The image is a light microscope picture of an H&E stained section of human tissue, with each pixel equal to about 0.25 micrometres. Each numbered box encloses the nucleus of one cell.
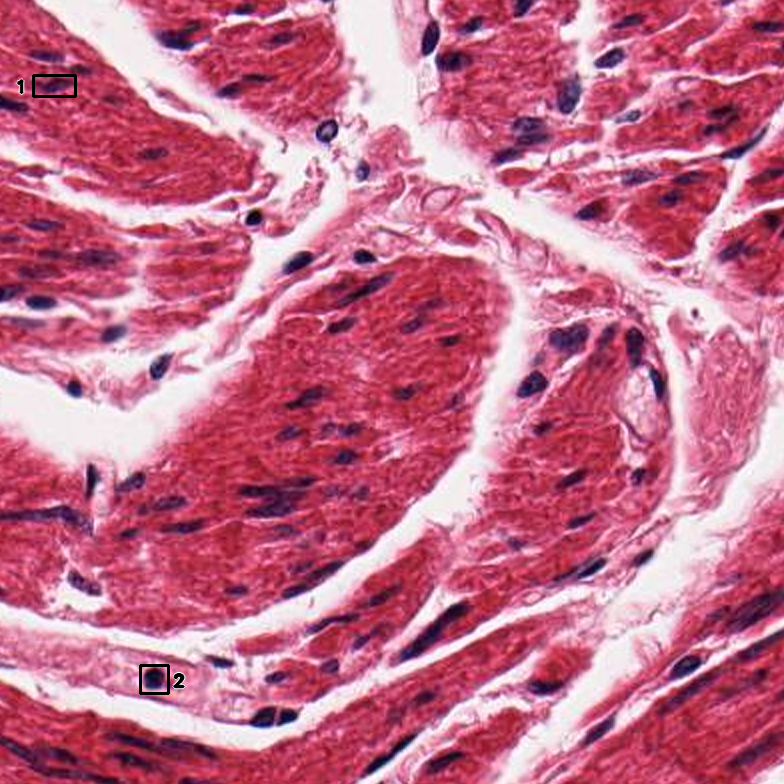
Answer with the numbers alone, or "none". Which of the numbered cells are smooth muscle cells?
1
